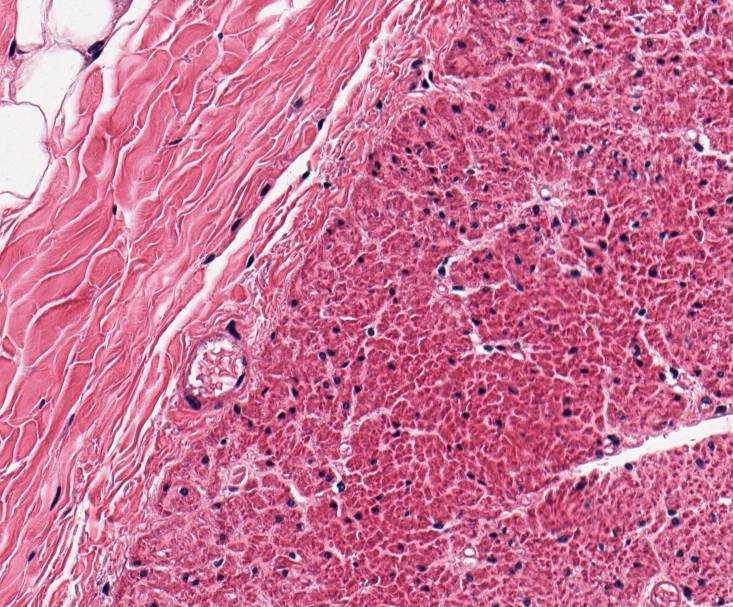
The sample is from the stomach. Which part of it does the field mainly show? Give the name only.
smooth muscle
